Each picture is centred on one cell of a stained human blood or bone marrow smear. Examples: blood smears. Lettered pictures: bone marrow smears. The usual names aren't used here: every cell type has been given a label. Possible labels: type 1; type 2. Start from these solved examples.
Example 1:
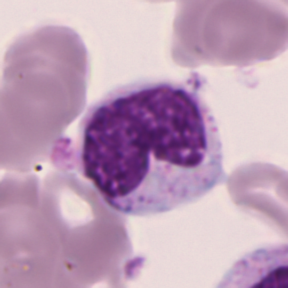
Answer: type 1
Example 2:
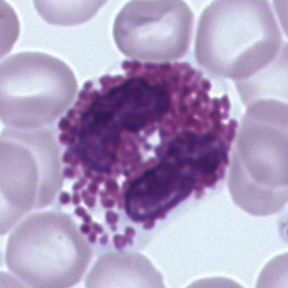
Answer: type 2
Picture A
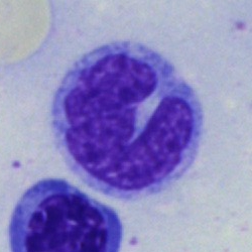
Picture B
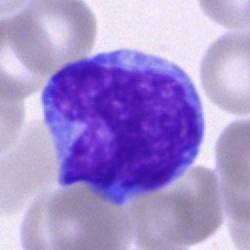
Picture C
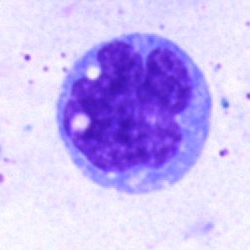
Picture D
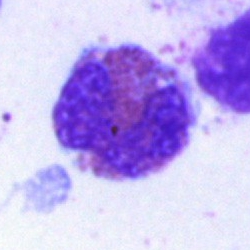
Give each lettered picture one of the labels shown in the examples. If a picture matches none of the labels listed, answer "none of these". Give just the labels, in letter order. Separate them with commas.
none of these, none of these, none of these, type 2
